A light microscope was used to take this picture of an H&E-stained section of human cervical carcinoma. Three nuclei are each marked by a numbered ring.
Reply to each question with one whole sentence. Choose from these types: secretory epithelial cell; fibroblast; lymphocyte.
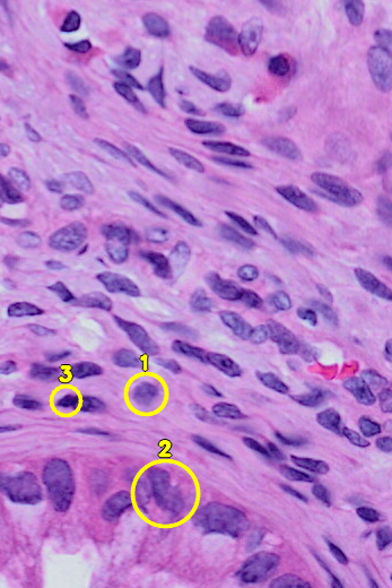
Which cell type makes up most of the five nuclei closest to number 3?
Fibroblasts account for more than half of the five nuclei nearest to number 3.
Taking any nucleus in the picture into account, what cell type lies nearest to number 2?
The nearest nucleus to number 2 belongs to a secretory epithelial cell.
